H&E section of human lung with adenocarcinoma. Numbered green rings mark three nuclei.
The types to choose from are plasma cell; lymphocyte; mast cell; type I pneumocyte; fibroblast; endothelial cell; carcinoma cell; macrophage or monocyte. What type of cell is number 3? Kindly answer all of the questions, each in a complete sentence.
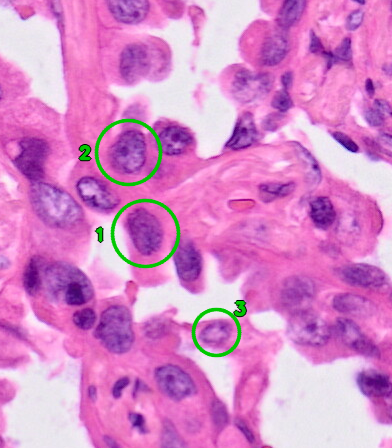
The cell marked with number 3 is a macrophage or monocyte.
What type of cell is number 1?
The cell whose nucleus carries the number 1 is a carcinoma cell.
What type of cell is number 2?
The cell pointed out as number 2 is a carcinoma cell.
